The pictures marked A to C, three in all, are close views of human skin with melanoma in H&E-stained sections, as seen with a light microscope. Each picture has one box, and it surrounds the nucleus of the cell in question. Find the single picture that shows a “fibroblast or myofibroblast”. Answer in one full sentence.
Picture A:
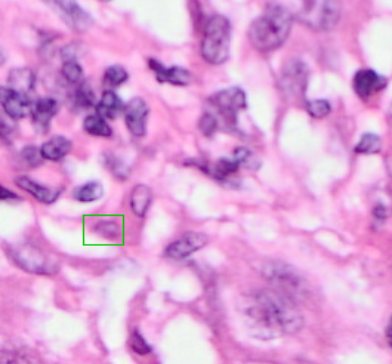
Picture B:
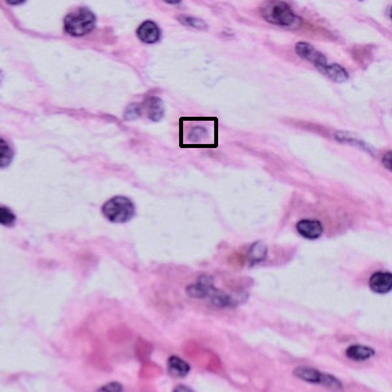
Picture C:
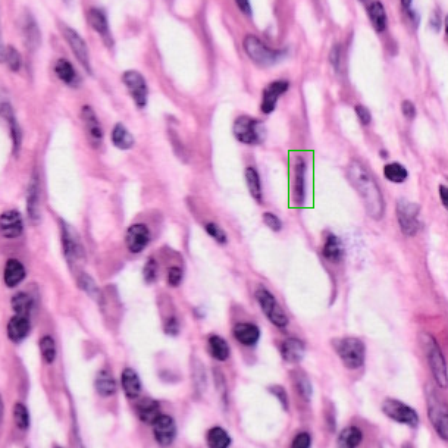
Picture C shows the “fibroblast or myofibroblast”.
